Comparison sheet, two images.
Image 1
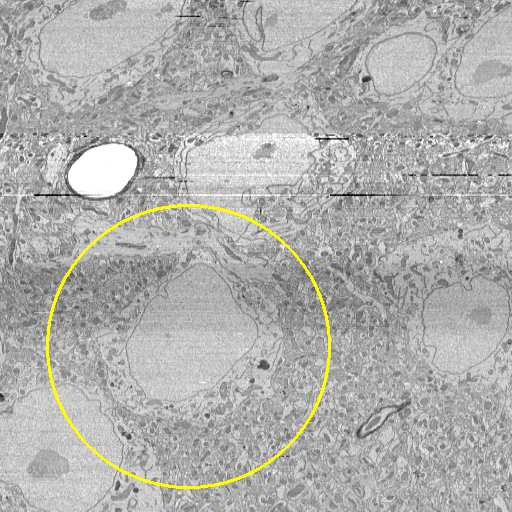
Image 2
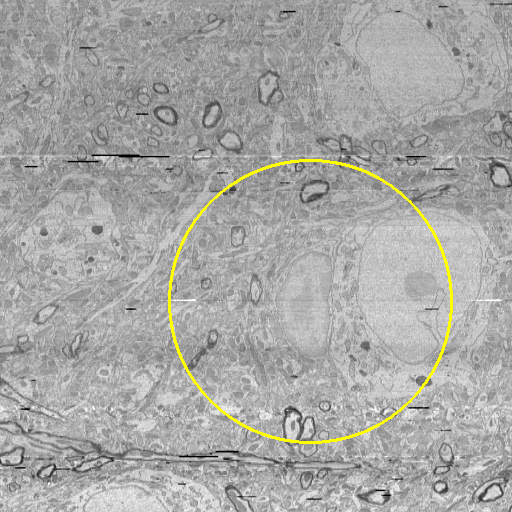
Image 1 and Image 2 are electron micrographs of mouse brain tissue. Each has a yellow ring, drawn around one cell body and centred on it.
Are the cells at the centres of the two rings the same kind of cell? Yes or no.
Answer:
no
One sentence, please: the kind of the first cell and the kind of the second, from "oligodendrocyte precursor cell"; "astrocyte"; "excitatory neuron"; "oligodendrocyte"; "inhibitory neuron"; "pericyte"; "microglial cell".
The ring in the first picture surrounds an excitatory neuron, and the ring in the second surrounds a microglial cell.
